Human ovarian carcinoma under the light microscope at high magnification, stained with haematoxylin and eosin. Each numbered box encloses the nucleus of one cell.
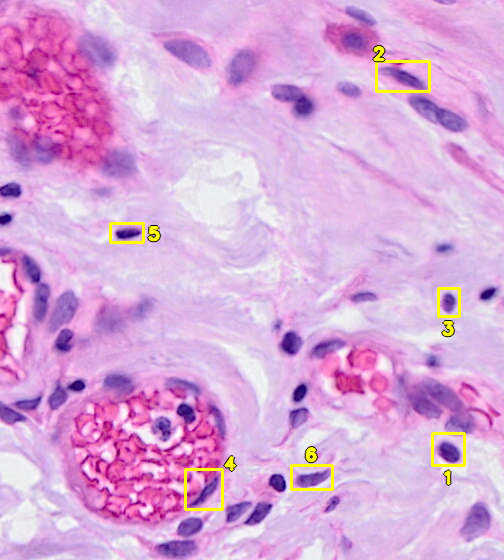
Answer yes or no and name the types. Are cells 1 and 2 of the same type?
No, cell 1 is a lymphocyte and cell 2 is an endothelial cell.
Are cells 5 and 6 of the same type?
No, cell 5 is a lymphocyte and cell 6 is a fibroblast.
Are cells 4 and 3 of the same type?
No, cell 4 is an endothelial cell and cell 3 is a lymphocyte.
